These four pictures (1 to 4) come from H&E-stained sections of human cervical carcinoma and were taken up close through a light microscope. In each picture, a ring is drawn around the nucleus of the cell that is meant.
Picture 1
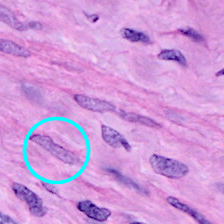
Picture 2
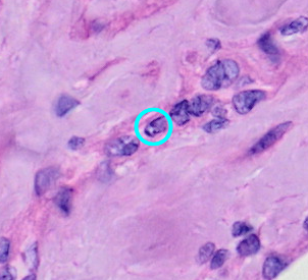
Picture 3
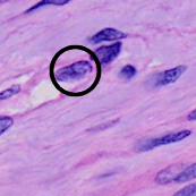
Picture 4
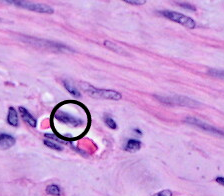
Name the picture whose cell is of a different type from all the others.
1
